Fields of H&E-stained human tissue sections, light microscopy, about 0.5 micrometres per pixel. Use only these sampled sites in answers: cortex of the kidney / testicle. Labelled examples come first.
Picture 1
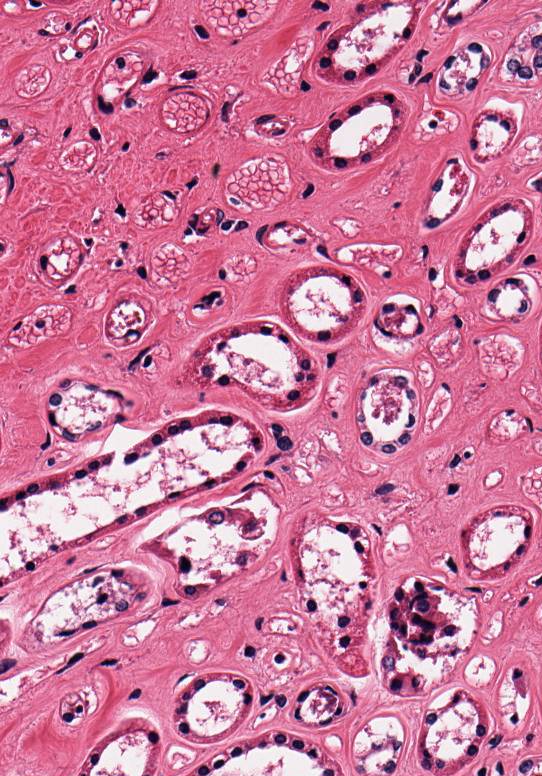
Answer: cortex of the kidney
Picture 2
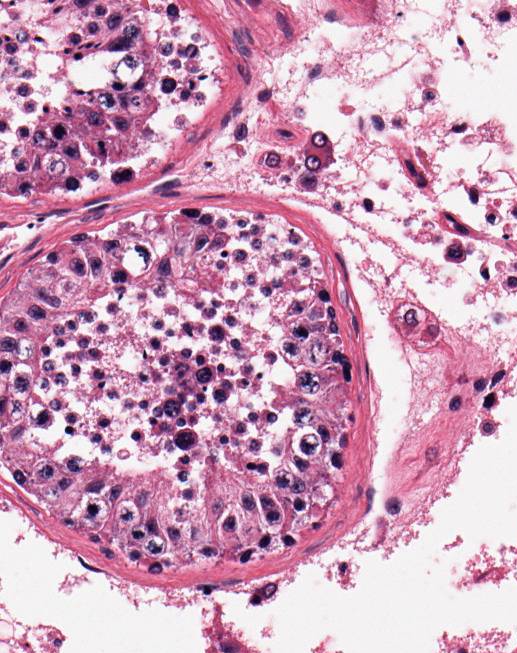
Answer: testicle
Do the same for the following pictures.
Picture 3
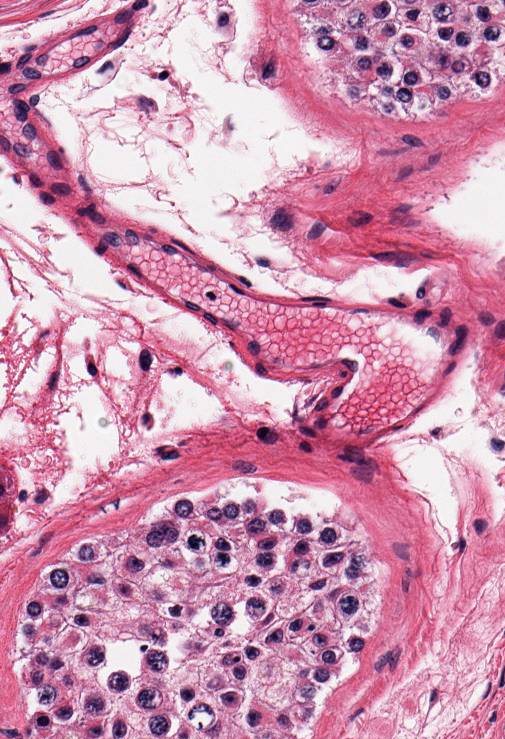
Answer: testicle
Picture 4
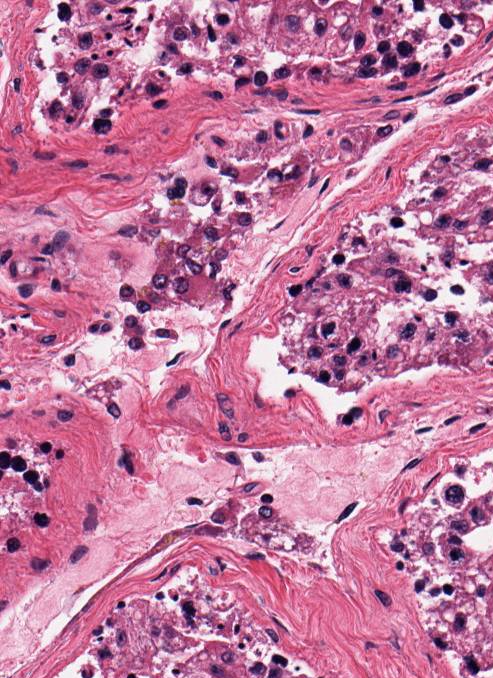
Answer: testicle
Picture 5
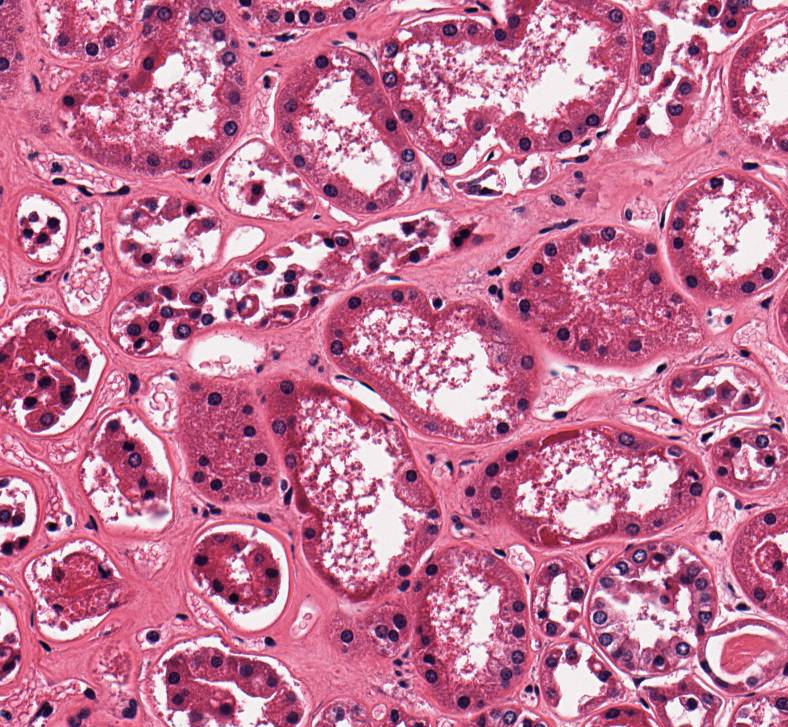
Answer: cortex of the kidney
